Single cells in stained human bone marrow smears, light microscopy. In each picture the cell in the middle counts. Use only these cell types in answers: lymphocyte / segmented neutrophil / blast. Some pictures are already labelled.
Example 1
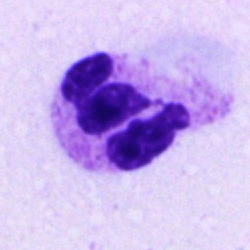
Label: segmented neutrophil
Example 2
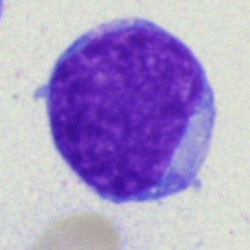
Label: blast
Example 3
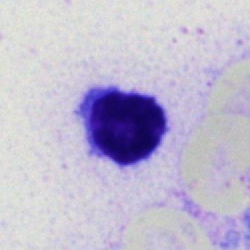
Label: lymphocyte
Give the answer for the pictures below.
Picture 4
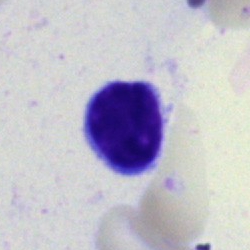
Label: lymphocyte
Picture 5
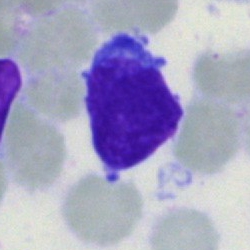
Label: blast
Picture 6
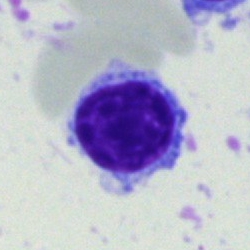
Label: lymphocyte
